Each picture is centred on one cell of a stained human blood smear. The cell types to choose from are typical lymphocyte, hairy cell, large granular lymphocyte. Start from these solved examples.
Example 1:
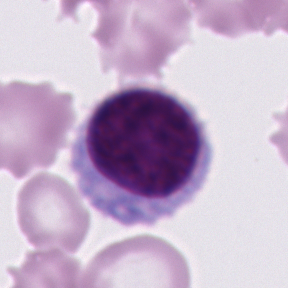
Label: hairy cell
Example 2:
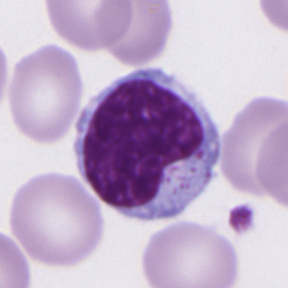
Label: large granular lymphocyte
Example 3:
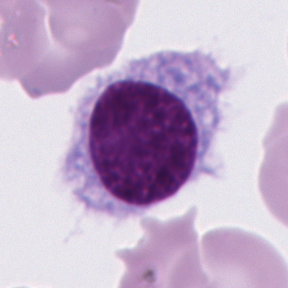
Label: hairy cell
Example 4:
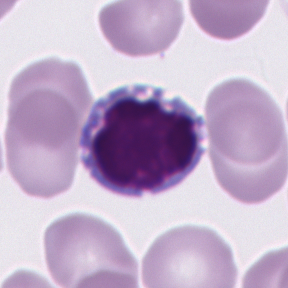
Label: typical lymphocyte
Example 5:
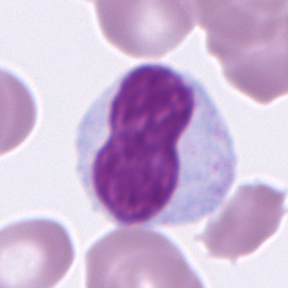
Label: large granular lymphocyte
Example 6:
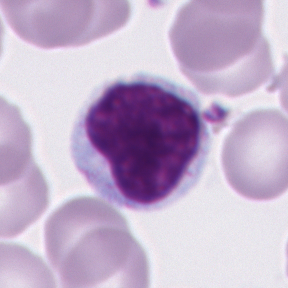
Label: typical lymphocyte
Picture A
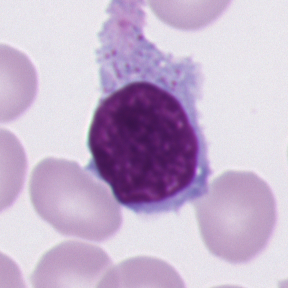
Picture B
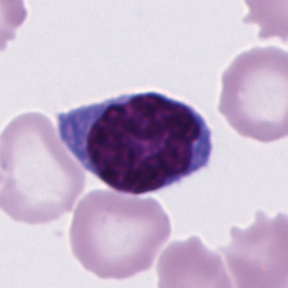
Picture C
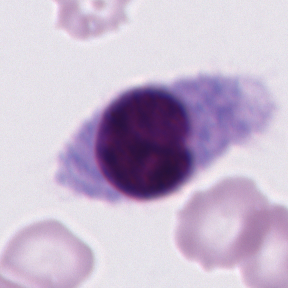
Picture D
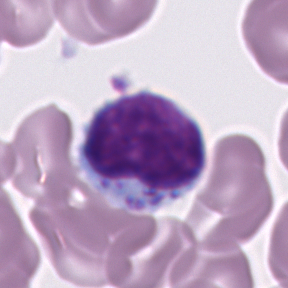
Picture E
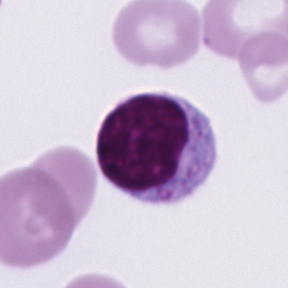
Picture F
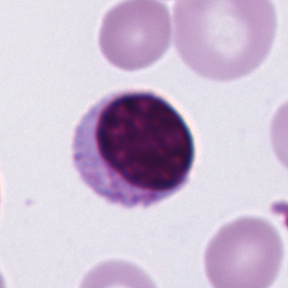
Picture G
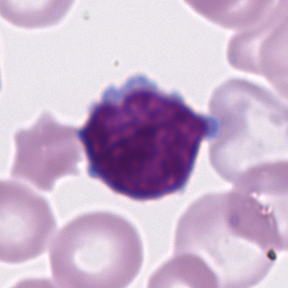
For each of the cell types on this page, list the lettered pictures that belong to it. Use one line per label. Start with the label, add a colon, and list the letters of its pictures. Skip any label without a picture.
typical lymphocyte: B, D, F, G
hairy cell: C
large granular lymphocyte: A, E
